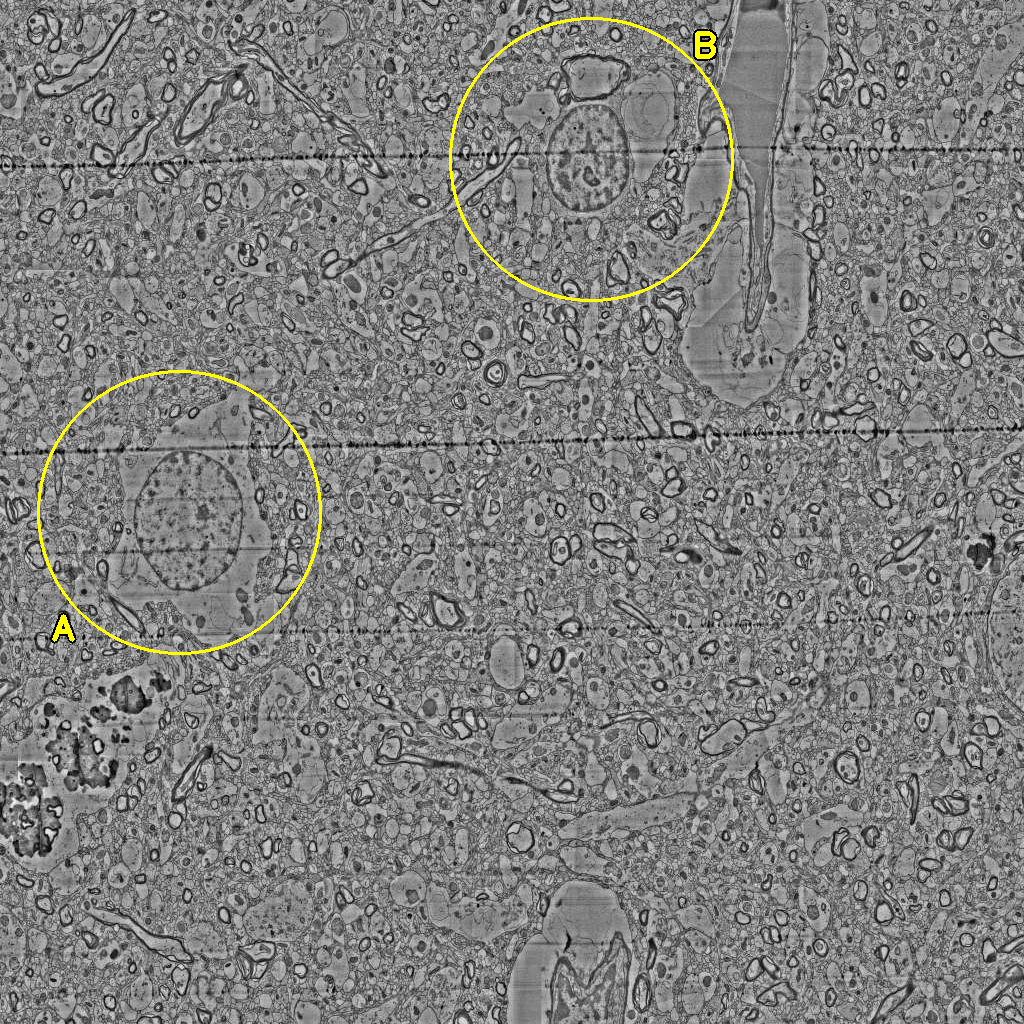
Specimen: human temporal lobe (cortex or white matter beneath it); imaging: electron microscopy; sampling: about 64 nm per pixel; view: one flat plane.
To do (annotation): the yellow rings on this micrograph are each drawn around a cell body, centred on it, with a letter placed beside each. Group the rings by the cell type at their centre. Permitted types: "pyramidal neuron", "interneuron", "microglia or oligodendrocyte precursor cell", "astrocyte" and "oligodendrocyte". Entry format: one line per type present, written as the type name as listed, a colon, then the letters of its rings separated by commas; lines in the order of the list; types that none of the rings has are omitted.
astrocyte: A
oligodendrocyte: B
